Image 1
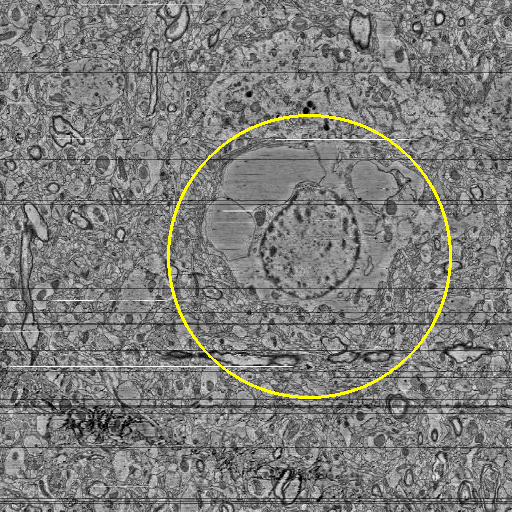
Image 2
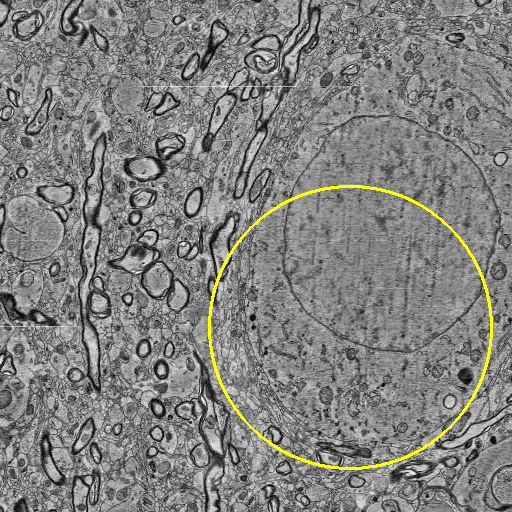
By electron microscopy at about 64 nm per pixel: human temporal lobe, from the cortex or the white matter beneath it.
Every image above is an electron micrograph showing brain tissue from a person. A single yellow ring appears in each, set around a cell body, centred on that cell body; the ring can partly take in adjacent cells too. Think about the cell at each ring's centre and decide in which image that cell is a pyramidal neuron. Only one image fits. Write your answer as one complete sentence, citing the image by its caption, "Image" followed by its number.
Image 2 is the one whose ringed central cell fits the description.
